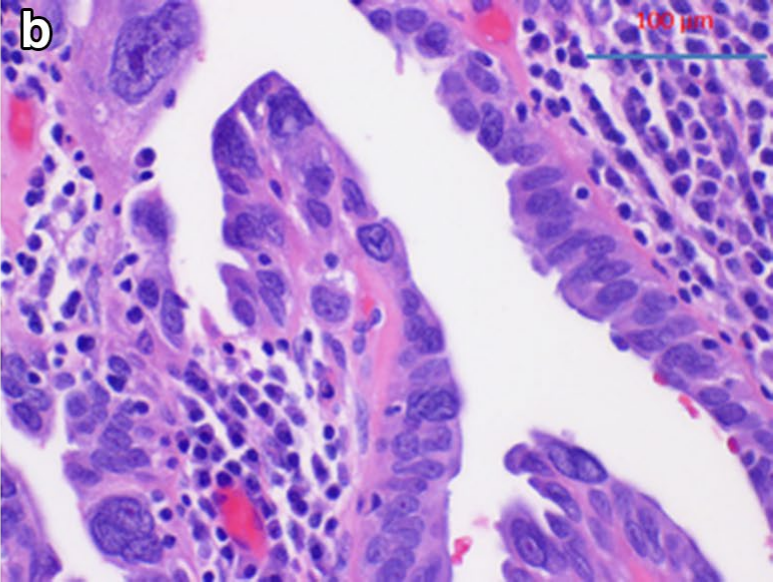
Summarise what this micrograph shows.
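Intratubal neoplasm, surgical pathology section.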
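Slender fronds of tubal tissue with thin cores holding small round inflammatory cells and red blood cells are lined by epithelium that is crowded and stratified. The epithelial nuclei are enlarged, irregular and unequal in size, some strikingly large with coarse chromatin, in keeping with an intraepithelial carcinoma of the tube.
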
